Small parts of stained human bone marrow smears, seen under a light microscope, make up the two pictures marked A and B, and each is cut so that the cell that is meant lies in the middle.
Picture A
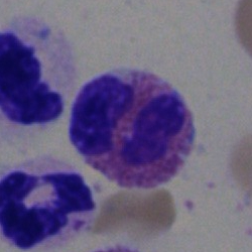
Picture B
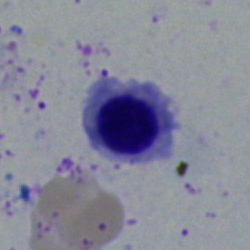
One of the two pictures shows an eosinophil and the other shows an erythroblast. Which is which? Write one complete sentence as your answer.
Picture B shows an erythroblast, while picture A shows an eosinophil.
